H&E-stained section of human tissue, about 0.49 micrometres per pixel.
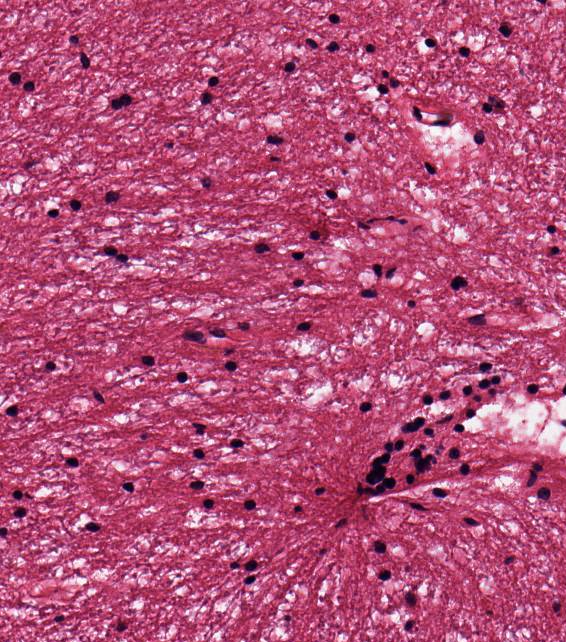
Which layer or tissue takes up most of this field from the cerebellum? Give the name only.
white matter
